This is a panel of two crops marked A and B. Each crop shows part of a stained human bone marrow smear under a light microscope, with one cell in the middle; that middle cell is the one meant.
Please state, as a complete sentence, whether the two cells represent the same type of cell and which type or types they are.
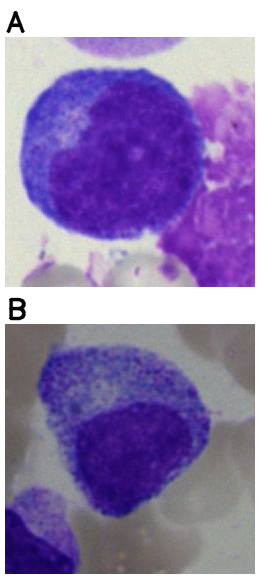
No, a blast is centred in crop A, and a myelocyte is centred in crop B.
